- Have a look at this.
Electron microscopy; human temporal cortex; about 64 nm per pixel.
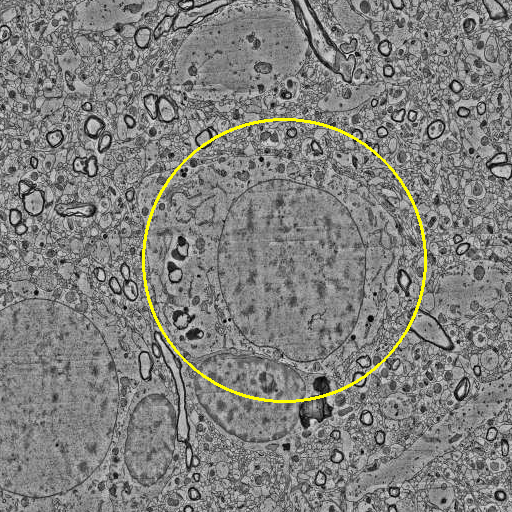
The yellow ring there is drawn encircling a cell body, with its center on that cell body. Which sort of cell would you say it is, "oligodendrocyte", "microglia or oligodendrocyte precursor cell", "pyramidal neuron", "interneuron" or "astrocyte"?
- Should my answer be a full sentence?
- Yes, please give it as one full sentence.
For this picture, a pyramidal neuron is the cell where the yellow ring has its center.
